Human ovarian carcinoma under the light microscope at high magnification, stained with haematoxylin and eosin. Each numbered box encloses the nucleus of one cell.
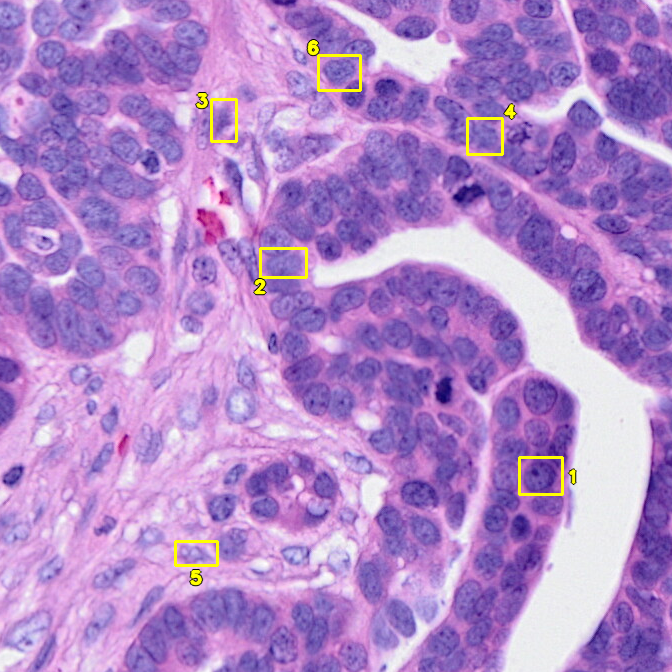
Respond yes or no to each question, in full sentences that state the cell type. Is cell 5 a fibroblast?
Yes, that is correct: the cell numbered 5 is a fibroblast.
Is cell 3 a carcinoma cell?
No, calling cell 3 a carcinoma cell is incorrect; it is a fibroblast.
